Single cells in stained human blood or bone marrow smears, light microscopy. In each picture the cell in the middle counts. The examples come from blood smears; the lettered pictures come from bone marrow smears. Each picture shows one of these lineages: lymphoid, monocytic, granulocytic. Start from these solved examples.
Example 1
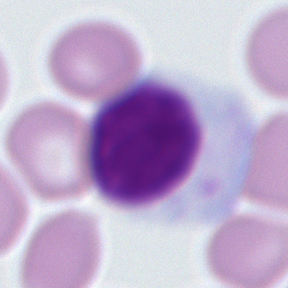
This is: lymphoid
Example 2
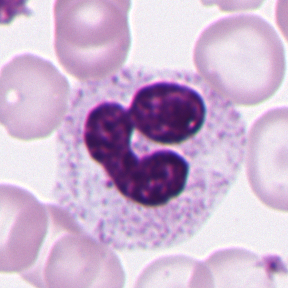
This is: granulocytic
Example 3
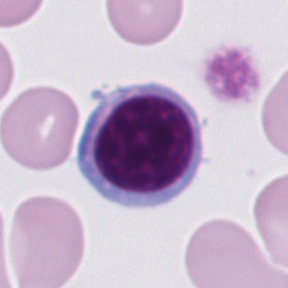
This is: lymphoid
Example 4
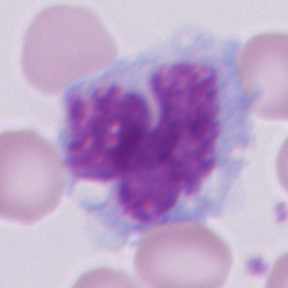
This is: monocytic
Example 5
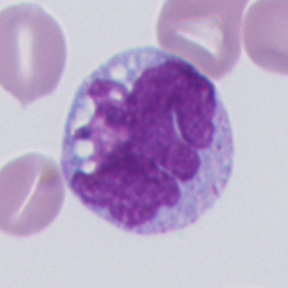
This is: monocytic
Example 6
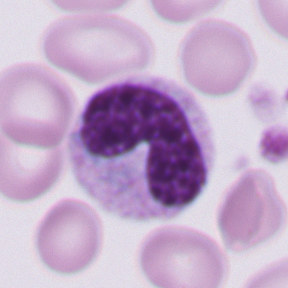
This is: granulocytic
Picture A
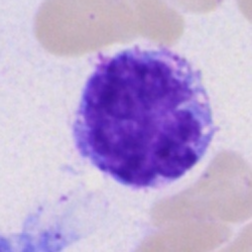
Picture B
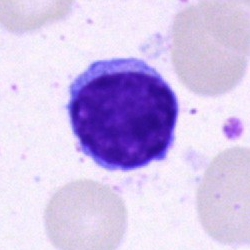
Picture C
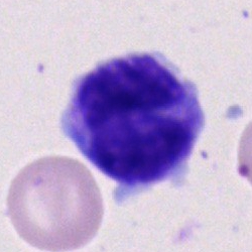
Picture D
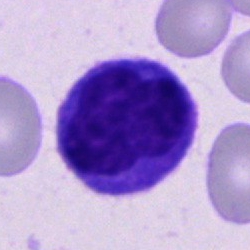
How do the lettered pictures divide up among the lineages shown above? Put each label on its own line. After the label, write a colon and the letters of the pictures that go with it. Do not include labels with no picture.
lymphoid: B
monocytic: A, C, D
